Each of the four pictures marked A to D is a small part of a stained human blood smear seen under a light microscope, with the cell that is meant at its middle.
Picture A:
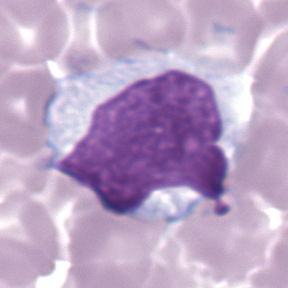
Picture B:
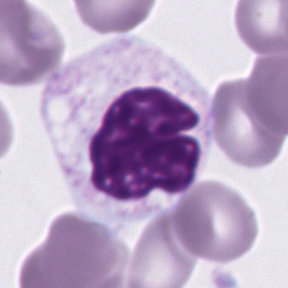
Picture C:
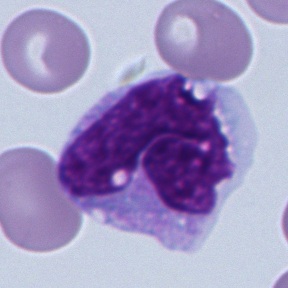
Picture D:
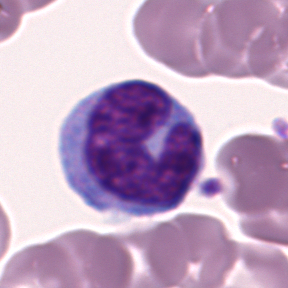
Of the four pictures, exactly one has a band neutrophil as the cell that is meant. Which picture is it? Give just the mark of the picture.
B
